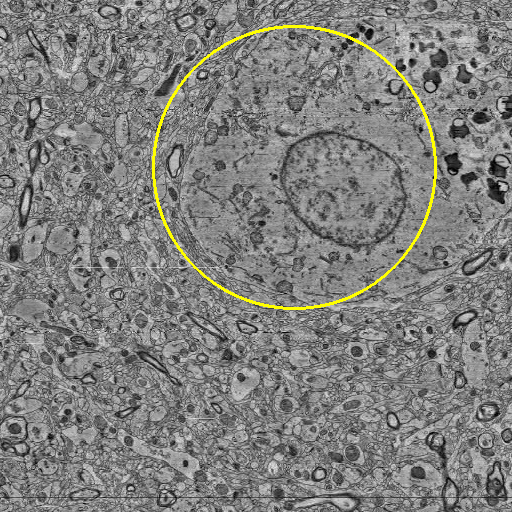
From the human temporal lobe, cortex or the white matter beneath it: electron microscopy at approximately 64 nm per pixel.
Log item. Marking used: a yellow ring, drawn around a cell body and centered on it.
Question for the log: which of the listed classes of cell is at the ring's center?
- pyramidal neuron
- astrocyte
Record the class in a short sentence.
At the center of the ring lies a pyramidal neuron.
